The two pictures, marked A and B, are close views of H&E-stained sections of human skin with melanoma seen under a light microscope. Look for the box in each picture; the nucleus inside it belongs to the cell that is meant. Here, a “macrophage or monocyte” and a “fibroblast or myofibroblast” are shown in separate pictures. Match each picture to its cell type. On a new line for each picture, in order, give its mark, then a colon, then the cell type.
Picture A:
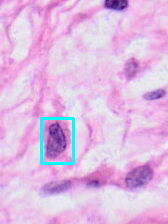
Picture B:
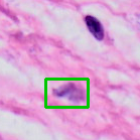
A: macrophage or monocyte
B: fibroblast or myofibroblast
